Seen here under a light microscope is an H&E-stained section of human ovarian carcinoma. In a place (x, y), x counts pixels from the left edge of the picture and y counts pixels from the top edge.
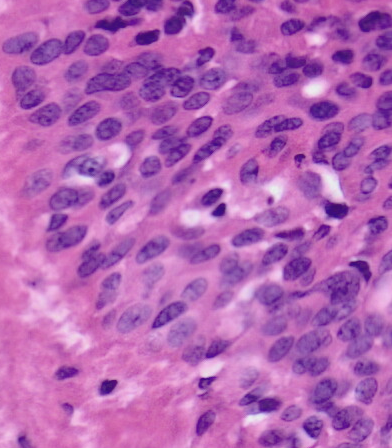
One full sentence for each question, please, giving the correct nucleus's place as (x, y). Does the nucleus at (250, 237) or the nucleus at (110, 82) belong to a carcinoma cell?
Which one belongs to a carcinoma cell? The nucleus at (110, 82) does.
